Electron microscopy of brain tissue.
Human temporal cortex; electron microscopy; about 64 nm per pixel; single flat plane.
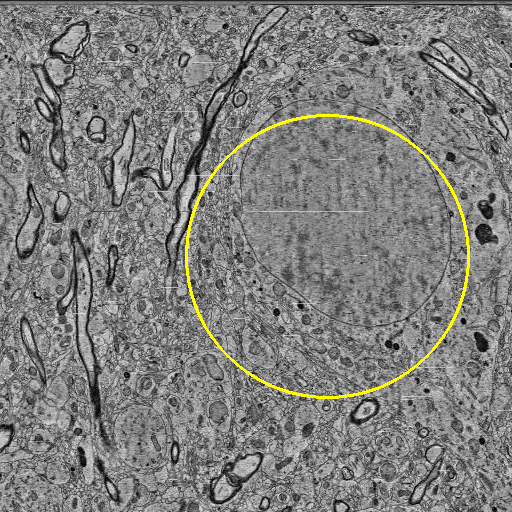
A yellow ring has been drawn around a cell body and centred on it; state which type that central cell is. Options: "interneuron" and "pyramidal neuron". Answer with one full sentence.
The cell at the middle of the yellow ring is a pyramidal neuron in this picture.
